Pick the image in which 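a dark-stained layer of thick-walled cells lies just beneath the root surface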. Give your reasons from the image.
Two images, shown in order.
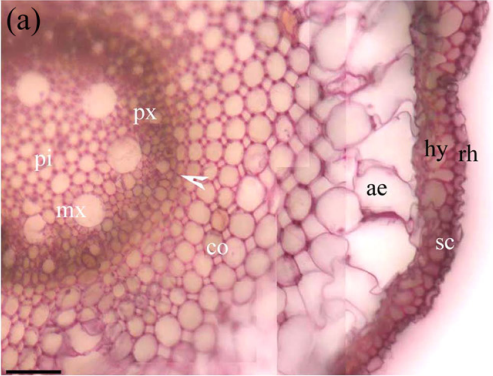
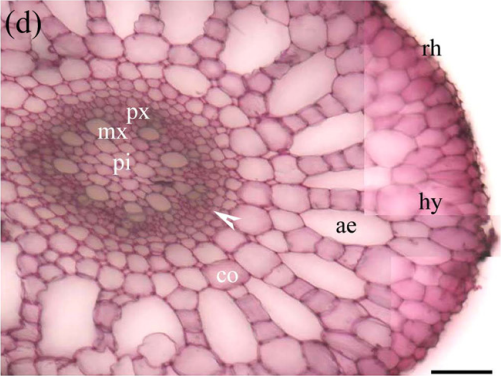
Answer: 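Second image: the outer edge shows only the surface layer and larger hypodermal cells, without a dark thick-walled band. First image: a narrow band of small dark-stained thick-walled cells runs along the outer edge. That points to this answer: the first image.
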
